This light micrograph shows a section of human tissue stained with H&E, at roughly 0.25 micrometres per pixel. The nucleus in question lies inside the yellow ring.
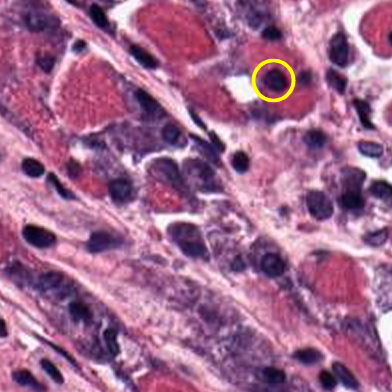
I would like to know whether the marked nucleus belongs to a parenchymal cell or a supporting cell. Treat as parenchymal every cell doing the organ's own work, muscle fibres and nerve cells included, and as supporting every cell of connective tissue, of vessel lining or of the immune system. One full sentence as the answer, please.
The marked nucleus is the nucleus of a parietal cell, a cell of the parenchyma.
